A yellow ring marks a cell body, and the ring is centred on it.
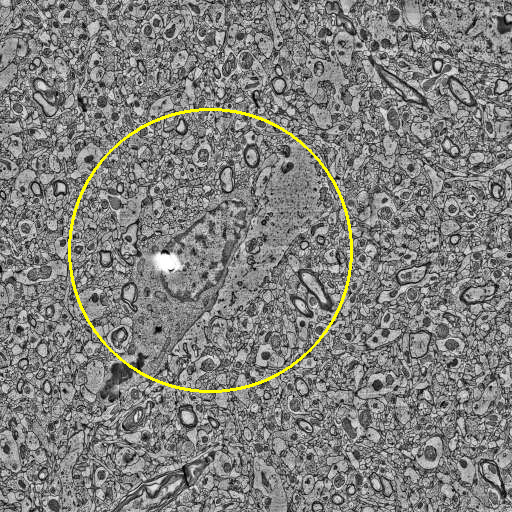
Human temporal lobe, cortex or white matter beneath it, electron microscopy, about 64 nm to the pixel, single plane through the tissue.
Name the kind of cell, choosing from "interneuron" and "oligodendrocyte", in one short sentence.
The marked cell body belongs to an oligodendrocyte.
